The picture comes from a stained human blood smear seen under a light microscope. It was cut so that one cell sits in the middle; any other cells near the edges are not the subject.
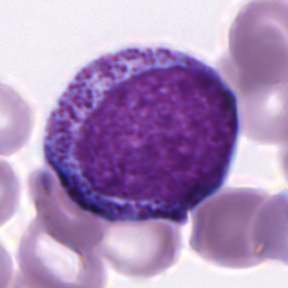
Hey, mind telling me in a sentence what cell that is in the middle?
The central cell shown in this smear crop is a promyelocyte.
